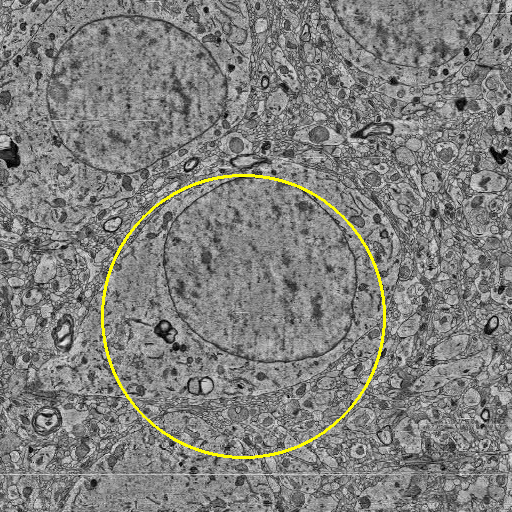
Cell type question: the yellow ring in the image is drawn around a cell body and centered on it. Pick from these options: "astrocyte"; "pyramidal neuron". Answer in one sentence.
The ringed cell at the center is a pyramidal neuron.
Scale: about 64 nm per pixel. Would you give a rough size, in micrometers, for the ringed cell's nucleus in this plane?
In this plane, the nucleus measures approximately 13 micrometres across.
